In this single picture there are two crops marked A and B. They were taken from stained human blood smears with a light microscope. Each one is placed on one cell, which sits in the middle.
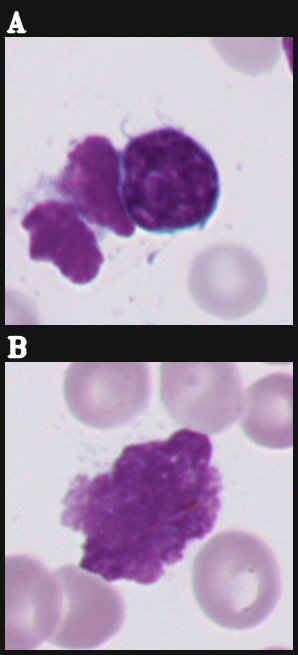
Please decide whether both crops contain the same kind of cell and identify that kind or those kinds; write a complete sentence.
No, the cell at the middle of crop A is a myeloblast, while crop B centres on a smudge cell.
